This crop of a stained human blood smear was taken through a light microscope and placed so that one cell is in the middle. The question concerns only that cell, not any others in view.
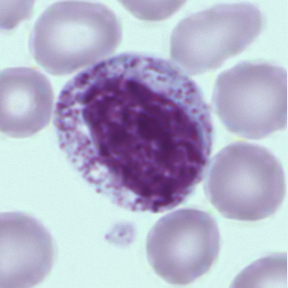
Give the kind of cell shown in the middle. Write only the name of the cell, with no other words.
metamyelocyte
